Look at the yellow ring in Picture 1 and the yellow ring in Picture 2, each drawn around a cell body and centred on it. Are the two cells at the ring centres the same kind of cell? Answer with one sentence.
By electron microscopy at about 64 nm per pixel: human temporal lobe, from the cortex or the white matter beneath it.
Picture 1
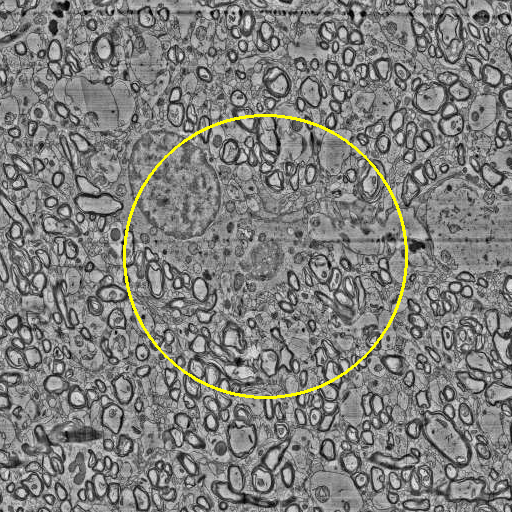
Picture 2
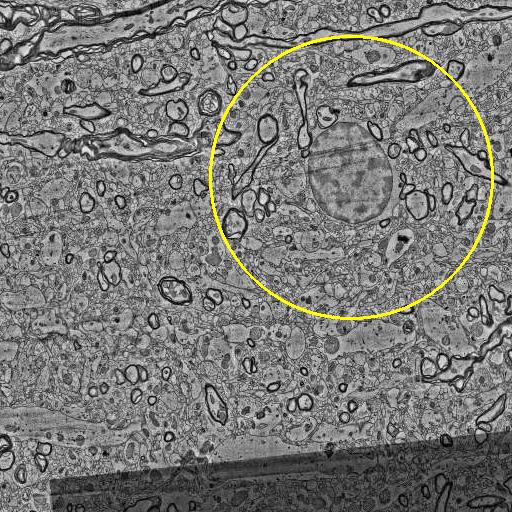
Yes, both are the same kind of cell.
